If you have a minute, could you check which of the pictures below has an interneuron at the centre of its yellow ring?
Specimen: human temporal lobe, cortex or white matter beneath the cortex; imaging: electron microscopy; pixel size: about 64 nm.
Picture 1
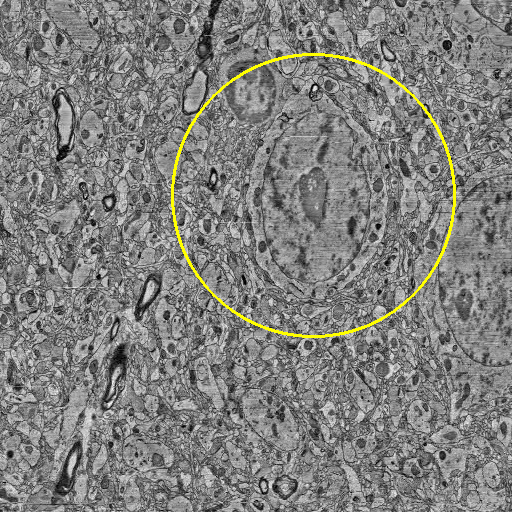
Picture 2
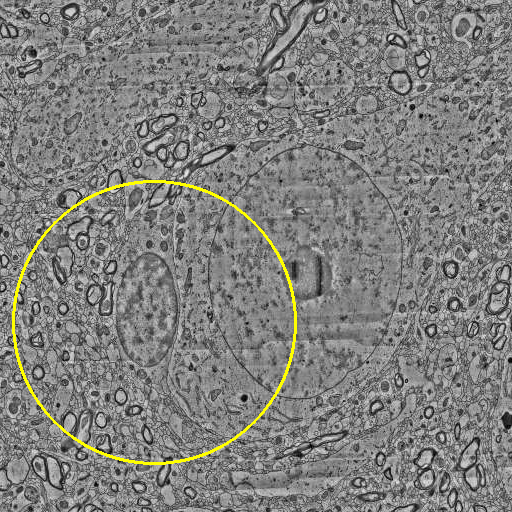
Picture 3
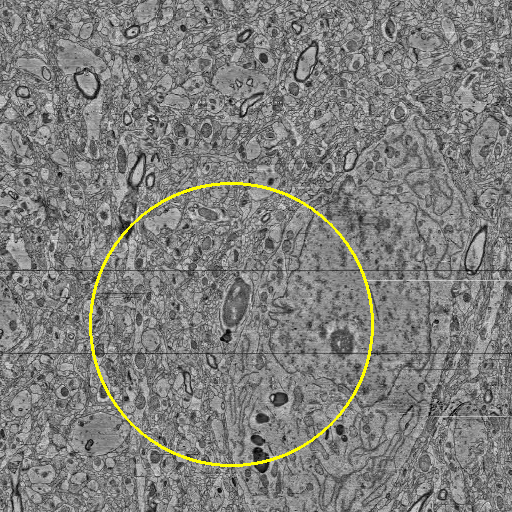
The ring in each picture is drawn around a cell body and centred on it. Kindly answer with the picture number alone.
1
